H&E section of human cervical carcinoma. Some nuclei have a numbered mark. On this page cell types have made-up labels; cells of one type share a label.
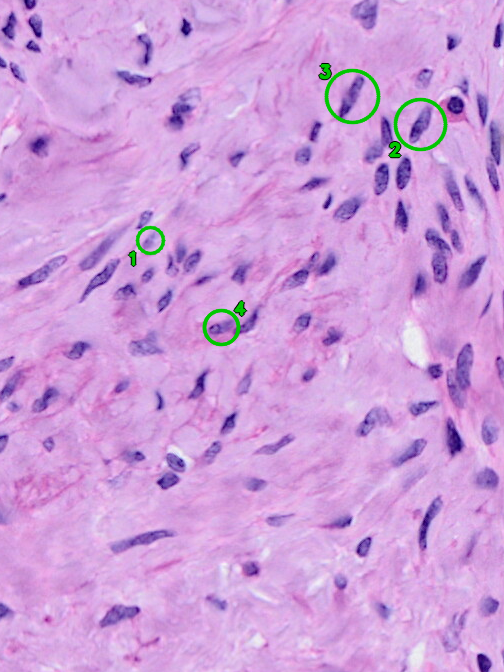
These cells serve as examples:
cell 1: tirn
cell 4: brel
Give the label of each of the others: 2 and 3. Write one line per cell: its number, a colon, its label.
2: tirn
3: tirn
